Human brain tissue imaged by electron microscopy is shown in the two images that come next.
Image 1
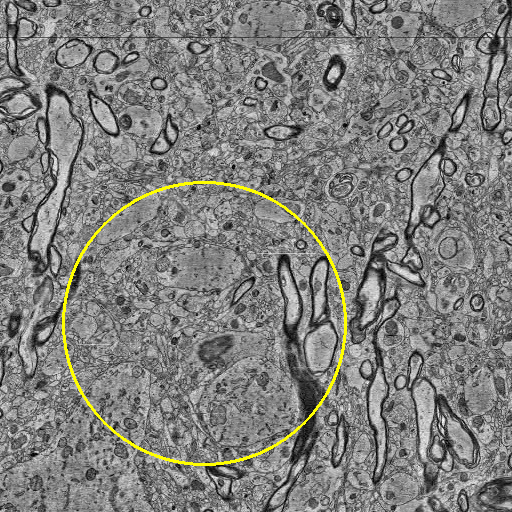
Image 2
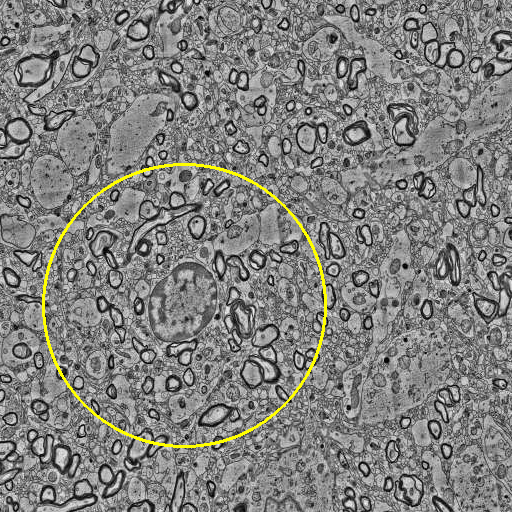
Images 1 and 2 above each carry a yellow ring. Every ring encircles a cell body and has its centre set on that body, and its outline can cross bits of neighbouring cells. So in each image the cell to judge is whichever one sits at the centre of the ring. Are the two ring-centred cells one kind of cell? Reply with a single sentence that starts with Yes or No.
No, in Image 1 and Image 2 the cells at the centres of their rings fall into two types.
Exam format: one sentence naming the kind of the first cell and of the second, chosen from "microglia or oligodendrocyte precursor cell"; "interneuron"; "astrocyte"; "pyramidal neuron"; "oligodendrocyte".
The first picture's cell is an oligodendrocyte, and the second picture's cell is a microglial cell or oligodendrocyte precursor cell.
